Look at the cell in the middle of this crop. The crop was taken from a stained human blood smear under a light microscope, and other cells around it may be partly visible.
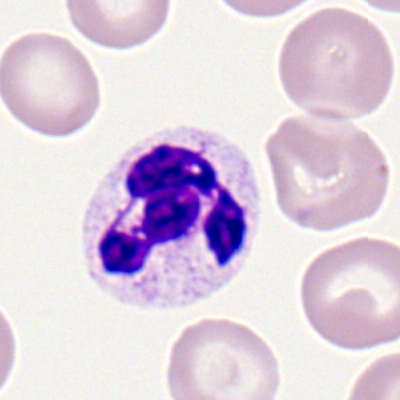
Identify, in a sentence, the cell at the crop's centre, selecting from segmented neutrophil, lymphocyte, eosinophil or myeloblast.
The central element of this crop is a cell, namely a segmented neutrophil.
